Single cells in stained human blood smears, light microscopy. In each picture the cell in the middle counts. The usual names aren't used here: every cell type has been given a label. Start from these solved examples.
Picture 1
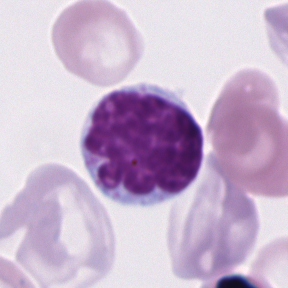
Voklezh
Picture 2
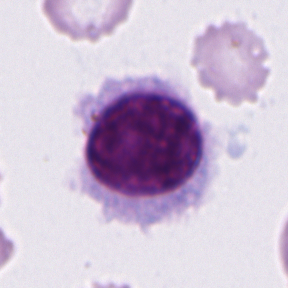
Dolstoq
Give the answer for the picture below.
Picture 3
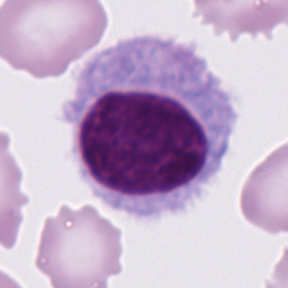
Dolstoq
